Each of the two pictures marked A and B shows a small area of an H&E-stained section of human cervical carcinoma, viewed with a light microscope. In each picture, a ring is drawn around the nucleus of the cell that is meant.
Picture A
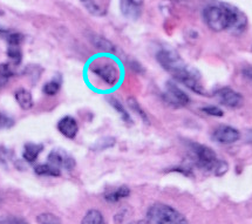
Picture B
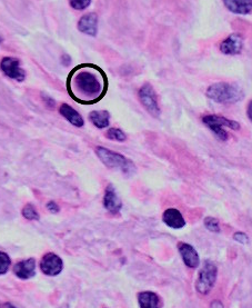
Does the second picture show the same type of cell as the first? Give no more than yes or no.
no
